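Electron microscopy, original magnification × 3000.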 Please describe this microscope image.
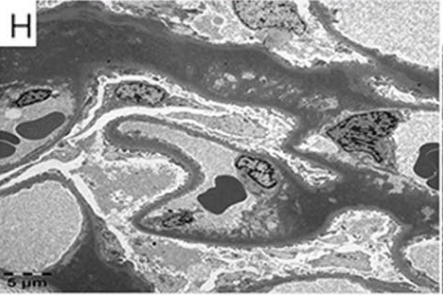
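This electron micrograph shows glomerular capillary loops, with red blood cells lying in the open lumina and a few nuclei of lining and mesangial cells. Along the capillary walls, on the inner side beneath the endothelium, runs a thick band of dark, homogeneous material, and similar dark material fills the mesangial areas. The walls are markedly thickened by these deposits compared with a normal thin basement membrane.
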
